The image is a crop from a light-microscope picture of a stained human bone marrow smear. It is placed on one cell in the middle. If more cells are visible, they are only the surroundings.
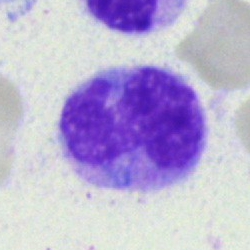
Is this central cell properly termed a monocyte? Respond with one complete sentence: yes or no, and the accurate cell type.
Yes, the cell at the crop's center is a monocyte.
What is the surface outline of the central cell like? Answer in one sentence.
No projections interrupt the outline; it is smooth all the way round.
